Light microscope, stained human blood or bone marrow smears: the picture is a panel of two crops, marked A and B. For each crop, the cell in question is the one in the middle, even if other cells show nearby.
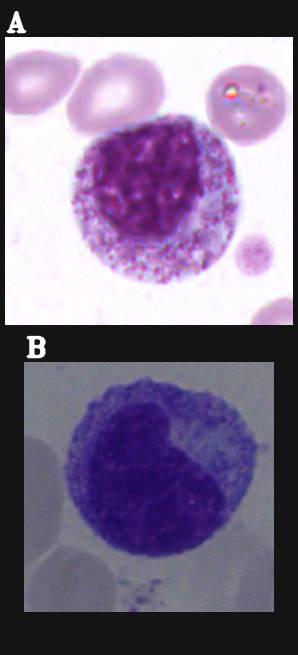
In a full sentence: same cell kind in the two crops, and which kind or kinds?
No, crop A holds a myelocyte, and a metamyelocyte occupies crop B.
